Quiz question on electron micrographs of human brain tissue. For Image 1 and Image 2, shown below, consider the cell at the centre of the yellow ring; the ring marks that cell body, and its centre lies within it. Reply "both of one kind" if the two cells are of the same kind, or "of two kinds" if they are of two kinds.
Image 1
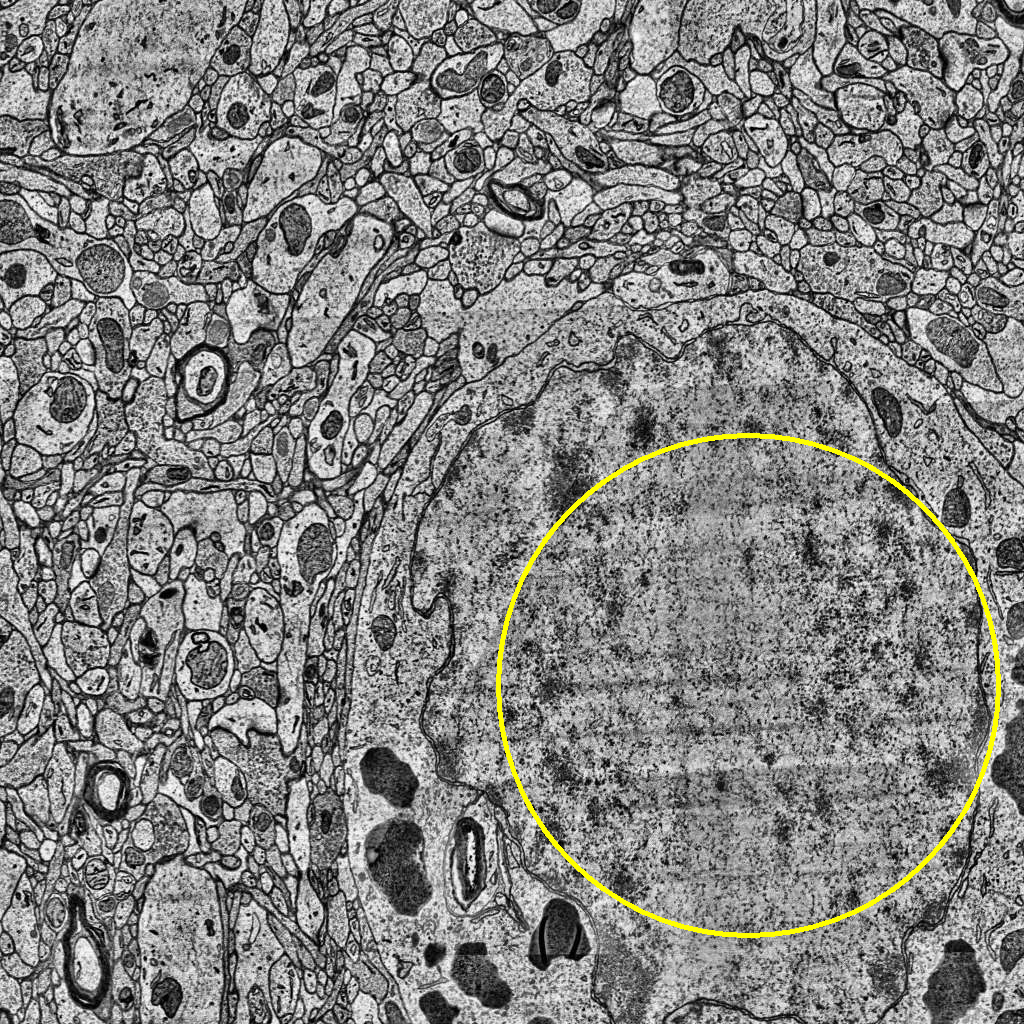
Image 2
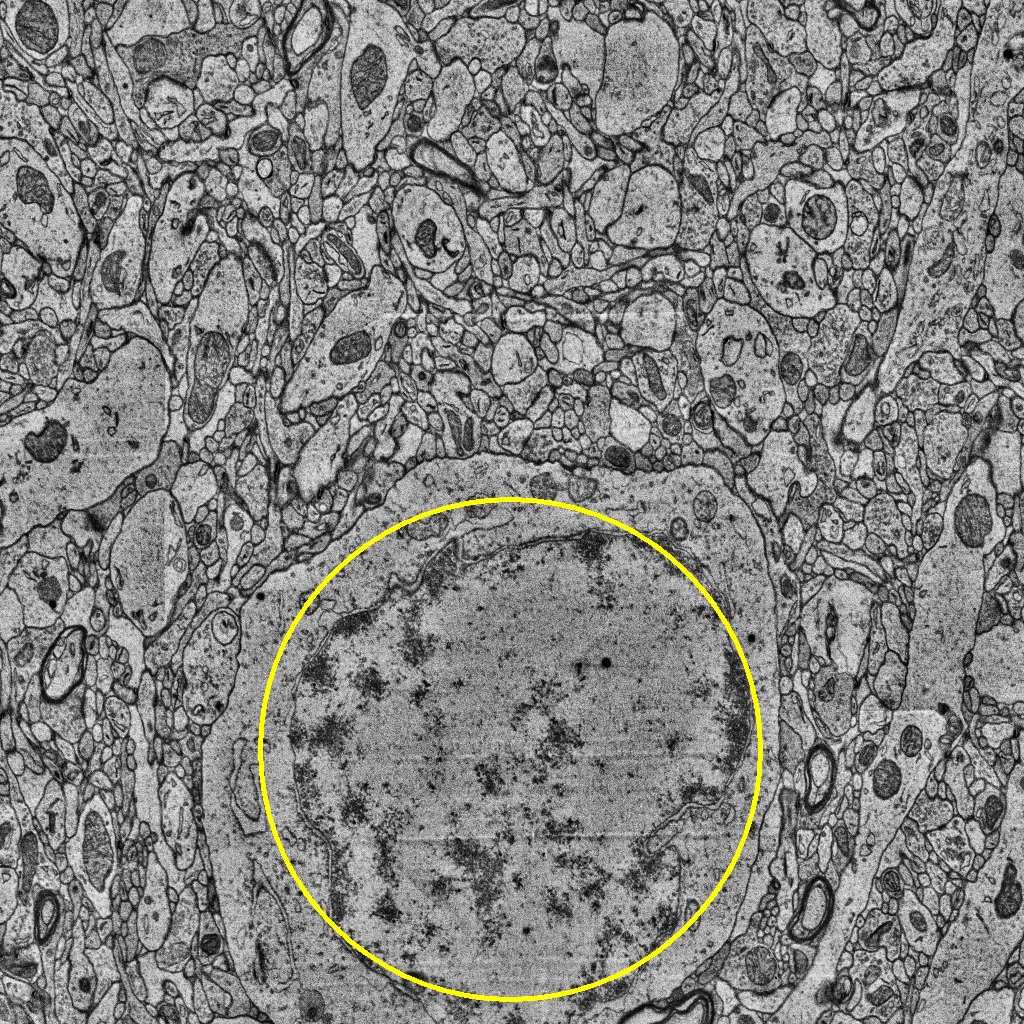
both of one kind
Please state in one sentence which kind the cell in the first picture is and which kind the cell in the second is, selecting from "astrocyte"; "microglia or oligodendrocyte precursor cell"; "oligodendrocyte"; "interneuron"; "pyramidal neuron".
The first and the second cell are each an interneuron.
